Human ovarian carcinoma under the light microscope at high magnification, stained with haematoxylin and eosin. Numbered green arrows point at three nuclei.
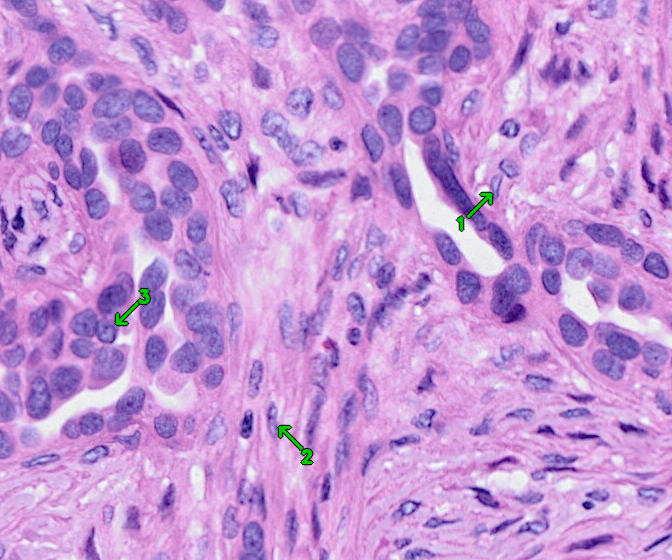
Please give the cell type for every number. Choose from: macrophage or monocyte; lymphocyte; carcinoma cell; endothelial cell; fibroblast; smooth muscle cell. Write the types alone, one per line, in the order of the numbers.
fibroblast
fibroblast
carcinoma cell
